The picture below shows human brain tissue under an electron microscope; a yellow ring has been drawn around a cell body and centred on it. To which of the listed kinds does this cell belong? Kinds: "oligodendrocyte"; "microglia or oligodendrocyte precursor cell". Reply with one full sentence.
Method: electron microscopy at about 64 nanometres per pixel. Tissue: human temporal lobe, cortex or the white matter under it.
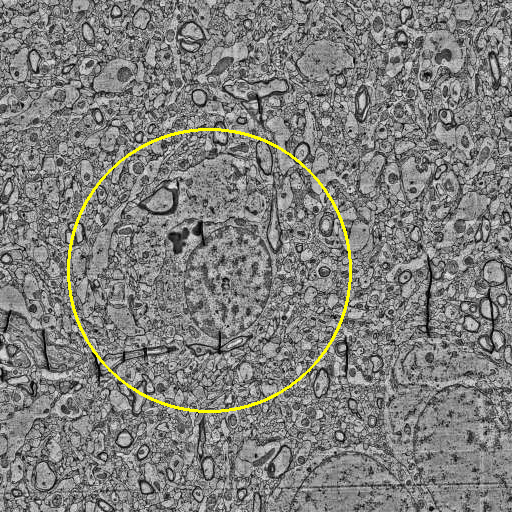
It is an oligodendrocyte that the yellow ring in the picture is centred on.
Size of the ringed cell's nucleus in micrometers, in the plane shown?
The nucleus appears roughly 7 by 6 micrometres in this plane.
